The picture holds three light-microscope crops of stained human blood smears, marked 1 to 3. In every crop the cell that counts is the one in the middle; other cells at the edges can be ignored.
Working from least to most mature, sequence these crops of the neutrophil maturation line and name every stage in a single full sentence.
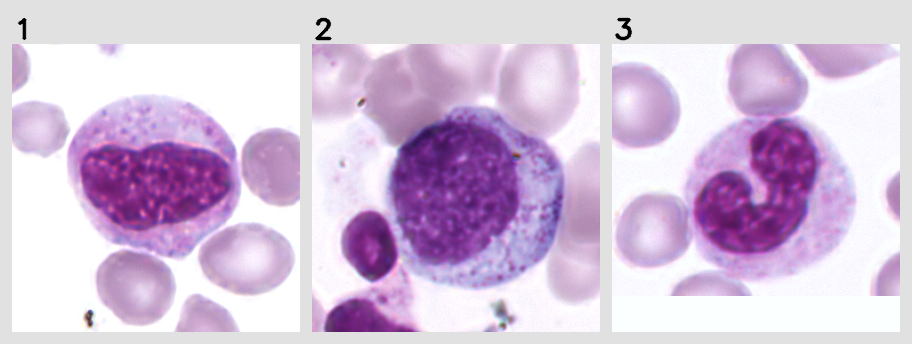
Proceeding from least to most mature, the order is crop 2 (a promyelocyte), crop 1 (a metamyelocyte) and crop 3 (a band neutrophil).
